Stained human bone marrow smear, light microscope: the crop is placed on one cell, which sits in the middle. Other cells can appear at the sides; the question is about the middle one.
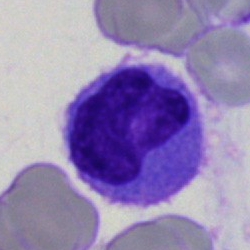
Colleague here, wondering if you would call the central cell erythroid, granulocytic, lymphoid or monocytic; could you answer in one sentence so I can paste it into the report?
On lineage, the cell in the middle of the crop is monocytic.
